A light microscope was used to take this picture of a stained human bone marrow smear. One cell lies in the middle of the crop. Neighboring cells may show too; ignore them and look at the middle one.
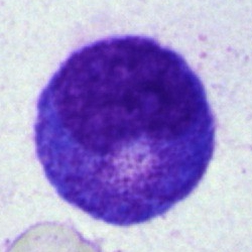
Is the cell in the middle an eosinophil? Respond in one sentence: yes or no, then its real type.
No, that is not an eosinophil; the middle cell is a promyelocyte.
